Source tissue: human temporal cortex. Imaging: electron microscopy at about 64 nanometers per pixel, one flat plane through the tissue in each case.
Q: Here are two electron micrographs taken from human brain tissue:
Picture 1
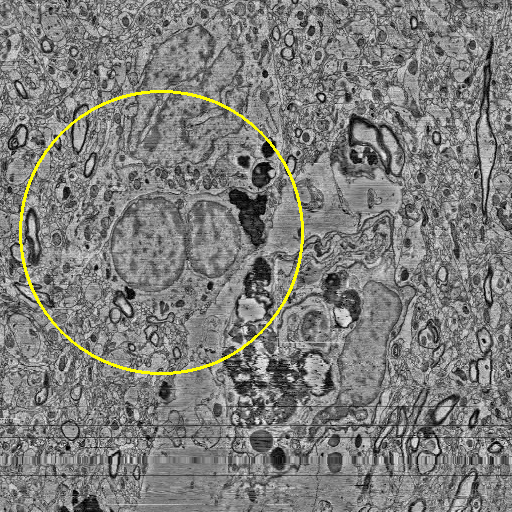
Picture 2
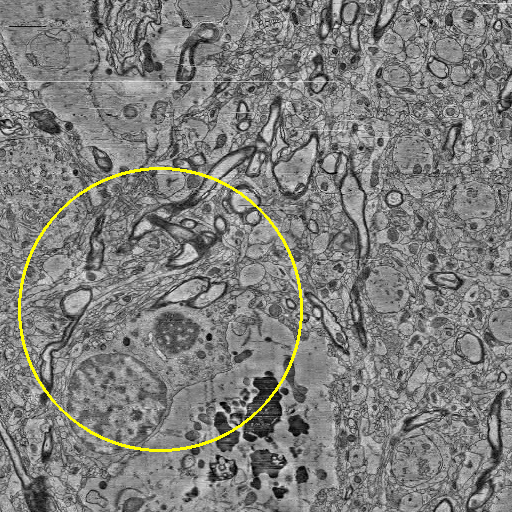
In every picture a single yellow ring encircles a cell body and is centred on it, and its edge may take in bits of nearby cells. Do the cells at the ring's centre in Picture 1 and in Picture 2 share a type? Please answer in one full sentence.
Yes, the cells at the ring's centre in Picture 1 and Picture 2 share a type.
